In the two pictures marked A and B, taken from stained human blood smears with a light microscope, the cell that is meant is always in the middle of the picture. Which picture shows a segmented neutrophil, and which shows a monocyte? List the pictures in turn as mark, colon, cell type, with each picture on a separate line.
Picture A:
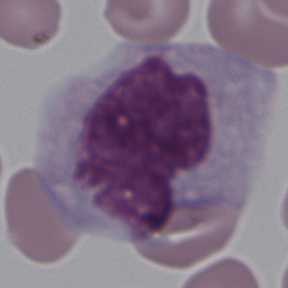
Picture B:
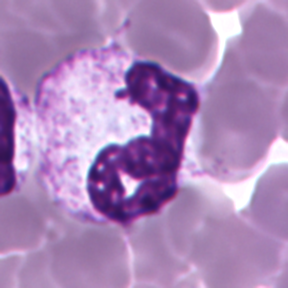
A: monocyte
B: segmented neutrophil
